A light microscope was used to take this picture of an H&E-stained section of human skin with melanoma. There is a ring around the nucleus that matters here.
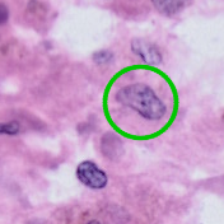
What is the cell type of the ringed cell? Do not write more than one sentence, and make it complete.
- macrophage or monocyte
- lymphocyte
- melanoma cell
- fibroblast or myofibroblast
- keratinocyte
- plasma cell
To be brief about it, the ringed cell is a macrophage or monocyte.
